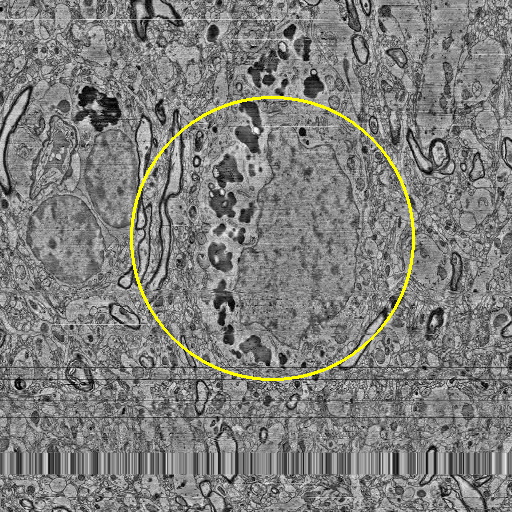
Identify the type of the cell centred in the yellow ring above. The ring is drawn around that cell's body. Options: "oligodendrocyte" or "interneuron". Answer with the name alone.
interneuron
